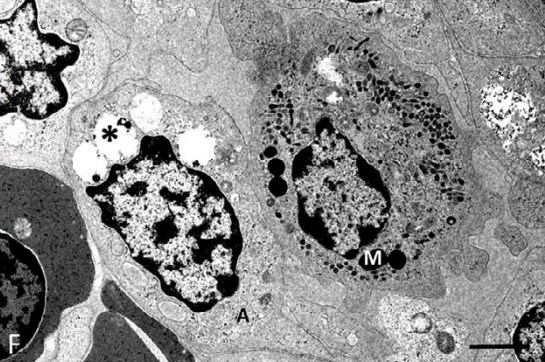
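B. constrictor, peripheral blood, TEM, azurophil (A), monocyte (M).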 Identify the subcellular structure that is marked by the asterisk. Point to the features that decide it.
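Vacuoles with variable content. Clear round spaces, some with flocculent material, fill the cytoplasm next to the nucleus of the left cell.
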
